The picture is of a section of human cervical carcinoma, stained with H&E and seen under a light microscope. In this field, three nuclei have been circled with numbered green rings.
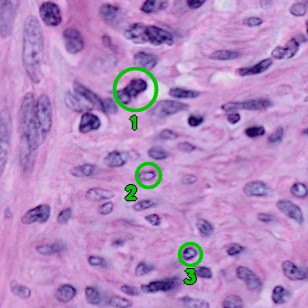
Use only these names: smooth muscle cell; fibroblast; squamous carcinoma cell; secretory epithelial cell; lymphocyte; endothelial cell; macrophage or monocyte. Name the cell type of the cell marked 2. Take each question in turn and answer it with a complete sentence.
Number 2 among the marked cells is a smooth muscle cell.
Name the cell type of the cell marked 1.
What the number 1 marks in this field is a lymphocyte.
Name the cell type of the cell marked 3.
The cell whose nucleus carries the number 3 is a smooth muscle cell.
